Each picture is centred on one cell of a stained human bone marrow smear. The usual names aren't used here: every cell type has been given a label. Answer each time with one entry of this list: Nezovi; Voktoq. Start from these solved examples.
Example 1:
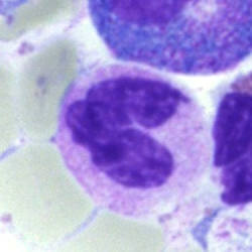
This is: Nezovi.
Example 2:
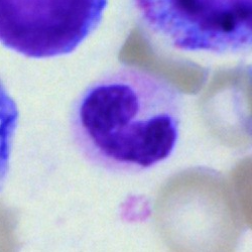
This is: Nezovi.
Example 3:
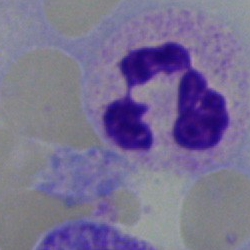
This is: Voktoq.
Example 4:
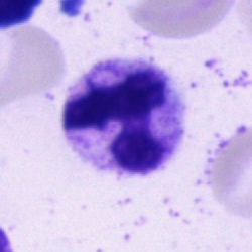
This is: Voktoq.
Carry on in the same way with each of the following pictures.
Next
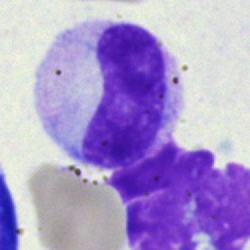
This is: Nezovi.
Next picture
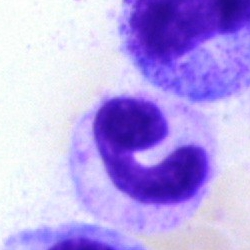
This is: Nezovi.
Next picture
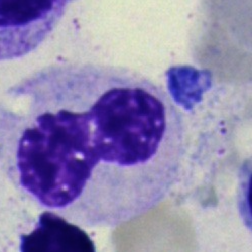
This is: Nezovi.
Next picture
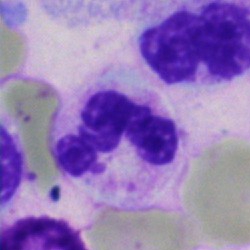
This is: Voktoq.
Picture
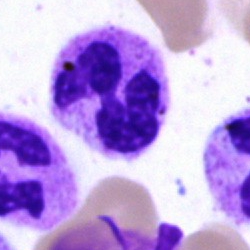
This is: Voktoq.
